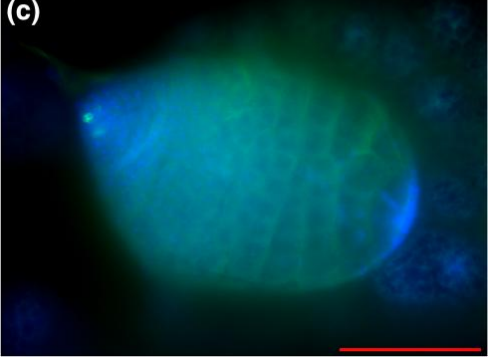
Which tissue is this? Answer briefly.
testis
